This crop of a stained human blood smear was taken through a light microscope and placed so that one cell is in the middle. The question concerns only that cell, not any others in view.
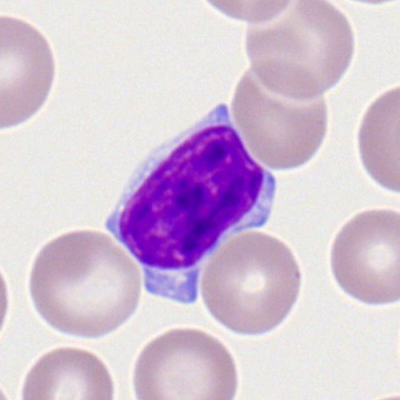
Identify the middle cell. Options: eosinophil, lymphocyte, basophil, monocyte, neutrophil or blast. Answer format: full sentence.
For this crop, the central cell is a lymphocyte.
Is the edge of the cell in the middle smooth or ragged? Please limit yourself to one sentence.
This cell does not have a smooth edge; it is ragged or extended into projections.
